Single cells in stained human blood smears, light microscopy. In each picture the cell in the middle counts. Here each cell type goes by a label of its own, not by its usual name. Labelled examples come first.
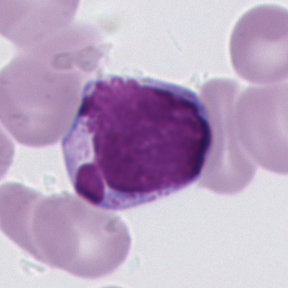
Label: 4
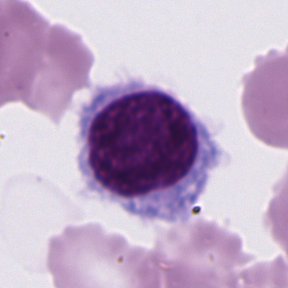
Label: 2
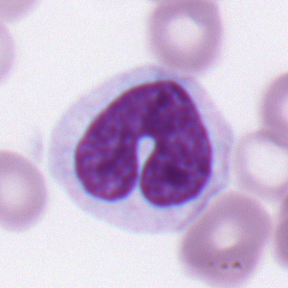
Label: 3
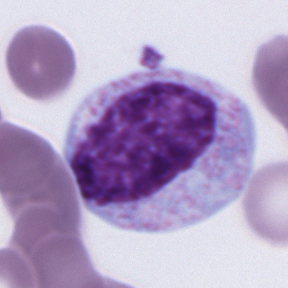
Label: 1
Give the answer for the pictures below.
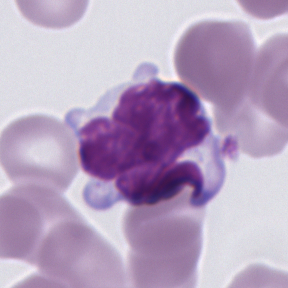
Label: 4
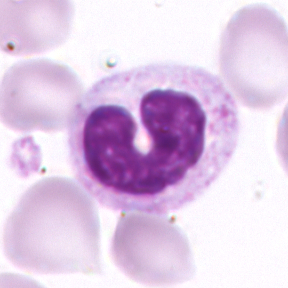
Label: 3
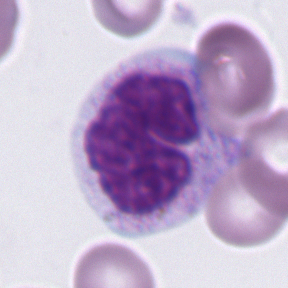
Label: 3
